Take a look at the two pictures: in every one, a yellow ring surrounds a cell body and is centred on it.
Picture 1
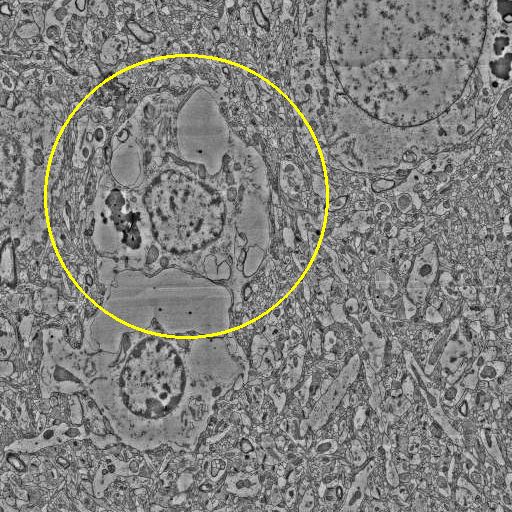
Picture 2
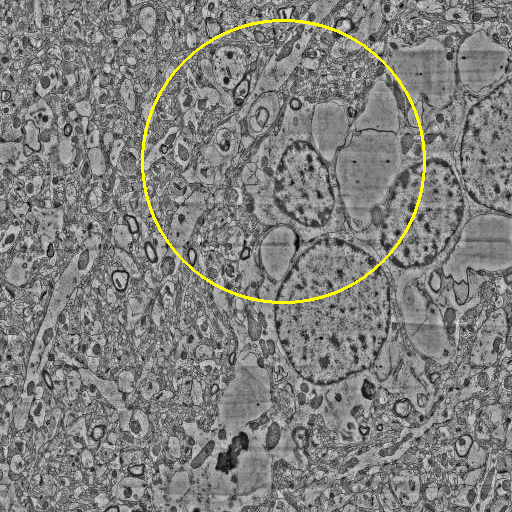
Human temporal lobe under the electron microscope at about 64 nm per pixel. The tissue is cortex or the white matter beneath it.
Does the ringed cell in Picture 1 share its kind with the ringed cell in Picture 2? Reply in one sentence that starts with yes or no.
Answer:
Yes, the two centred cells, one per picture, are of one kind.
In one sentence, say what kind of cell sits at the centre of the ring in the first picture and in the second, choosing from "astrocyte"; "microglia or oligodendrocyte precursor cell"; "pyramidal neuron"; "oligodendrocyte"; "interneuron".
The cell at the ring centre is an astrocyte in both pictures.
